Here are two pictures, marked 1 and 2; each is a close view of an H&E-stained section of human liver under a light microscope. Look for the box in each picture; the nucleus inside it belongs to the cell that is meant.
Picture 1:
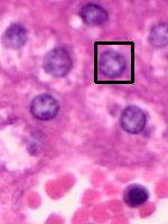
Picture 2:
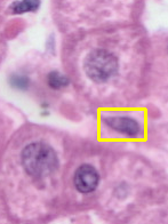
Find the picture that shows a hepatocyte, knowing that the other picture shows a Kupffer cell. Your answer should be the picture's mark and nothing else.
1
